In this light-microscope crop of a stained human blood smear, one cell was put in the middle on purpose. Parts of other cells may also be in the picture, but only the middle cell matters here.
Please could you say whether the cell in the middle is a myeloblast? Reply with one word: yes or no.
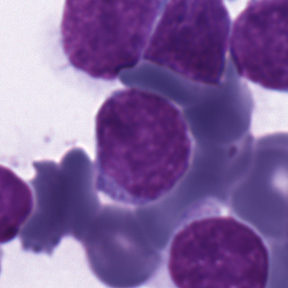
yes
